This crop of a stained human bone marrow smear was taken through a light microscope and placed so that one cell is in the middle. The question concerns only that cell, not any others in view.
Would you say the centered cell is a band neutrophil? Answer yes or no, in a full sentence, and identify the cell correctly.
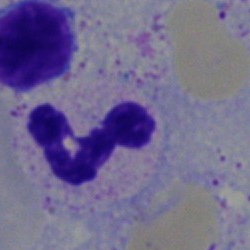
No, that is not a band neutrophil; the middle cell is a segmented neutrophil.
